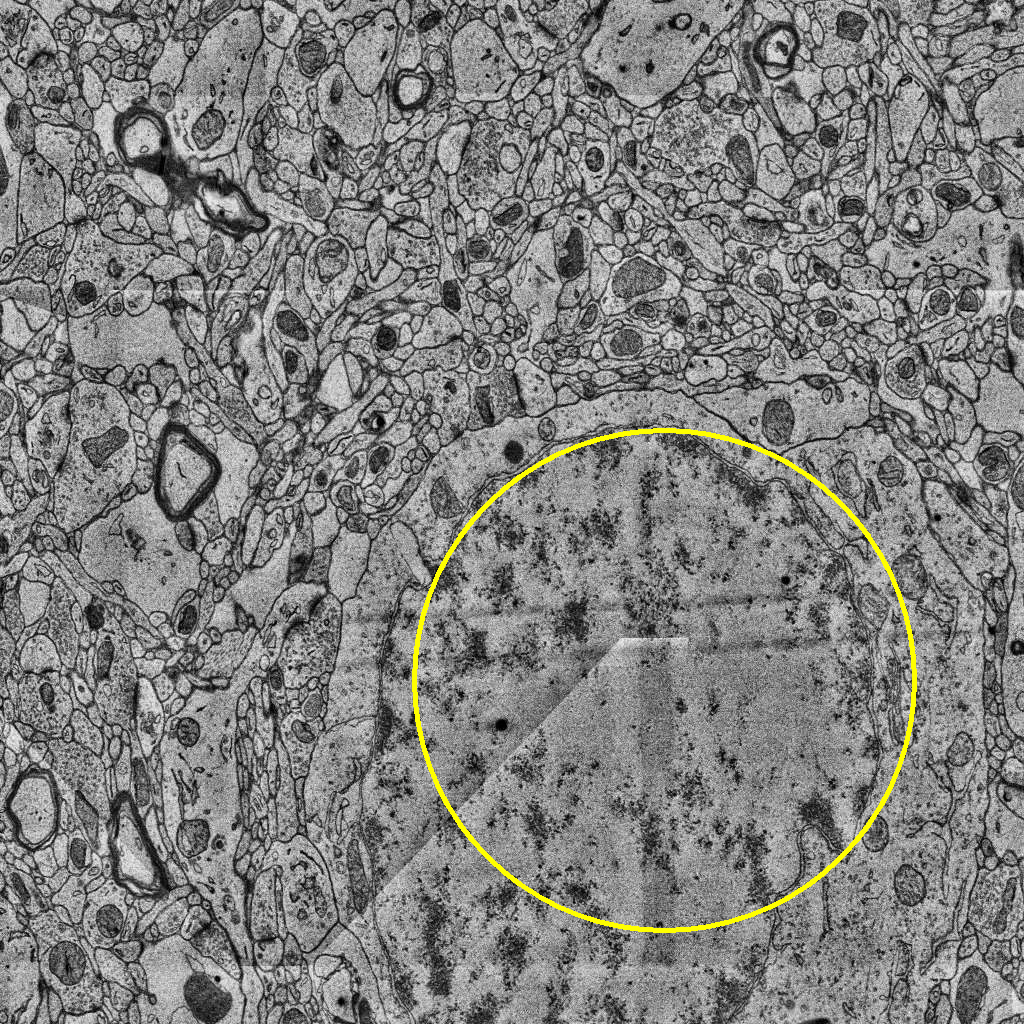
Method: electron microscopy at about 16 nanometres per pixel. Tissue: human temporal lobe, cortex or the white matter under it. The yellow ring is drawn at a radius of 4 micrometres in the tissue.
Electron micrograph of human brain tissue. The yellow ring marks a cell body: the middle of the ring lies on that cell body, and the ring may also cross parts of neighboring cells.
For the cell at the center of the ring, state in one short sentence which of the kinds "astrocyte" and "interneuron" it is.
This ring's center lies on an interneuron.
